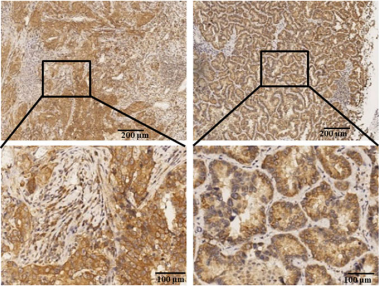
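In the left image, the enlargement shows brown tumor cell groups beside a band of stroma filled with elongated, spindle-shaped fibroblasts that are also stained brown. In the right image, the tumor forms crowded gland-like structures lined by brown-stained epithelial cells with bluish nuclei, and the thin stroma between them is paler.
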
